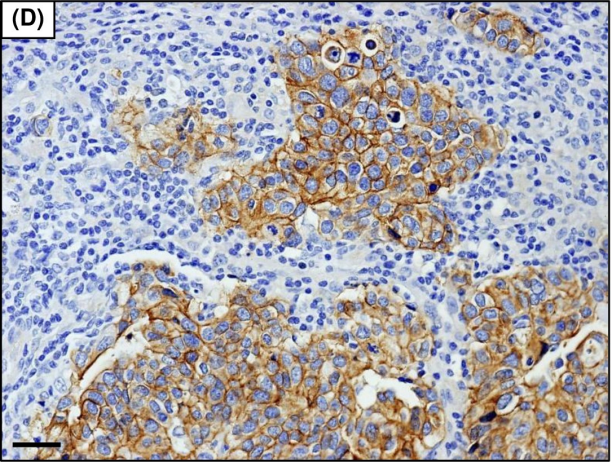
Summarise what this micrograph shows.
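The tumour cells have large, round to oval pale nuclei and ample cytoplasm, with brown stain along their membranes and in their cytoplasm. The clusters are jagged in outline, and some small groups of tumour cells lie apart from the larger ones. Around them, the lymphocytes are small cells with dark, round blue nuclei and little cytoplasm, tightly packed and without brown stain. The contrast in size and staining sets the brown tumour clusters clearly apart from the blue background of lymphocytes.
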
